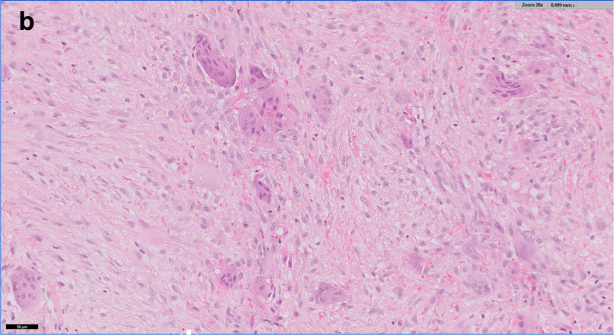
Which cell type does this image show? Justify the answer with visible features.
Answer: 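Large cells with many nuclei clustered together are scattered through the field. These large cells have abundant pink cytoplasm. They lie among much smaller single-nucleated cells.
Conclusion: osteoclast-like multinucleated giant cells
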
